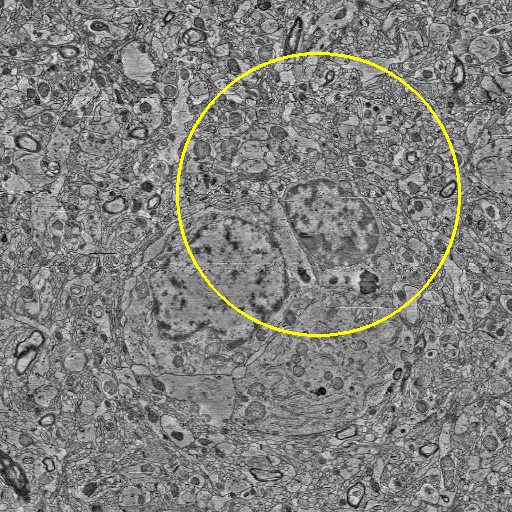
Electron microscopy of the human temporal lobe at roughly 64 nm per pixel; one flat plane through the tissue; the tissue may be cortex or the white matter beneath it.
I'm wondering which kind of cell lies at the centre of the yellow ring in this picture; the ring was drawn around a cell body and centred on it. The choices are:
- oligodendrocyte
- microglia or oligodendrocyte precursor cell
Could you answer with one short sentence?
At the centre of the ring lies an oligodendrocyte.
